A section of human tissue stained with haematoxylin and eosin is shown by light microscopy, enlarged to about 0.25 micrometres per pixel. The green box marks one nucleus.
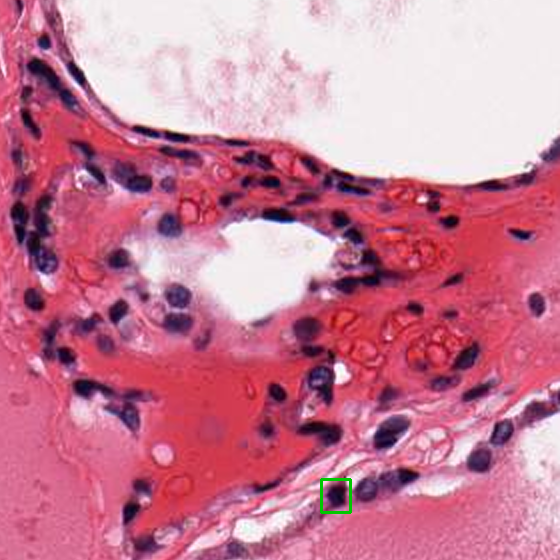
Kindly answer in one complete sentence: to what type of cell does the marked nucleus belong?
The owner of the marked nucleus is a thyroid follicular cell.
